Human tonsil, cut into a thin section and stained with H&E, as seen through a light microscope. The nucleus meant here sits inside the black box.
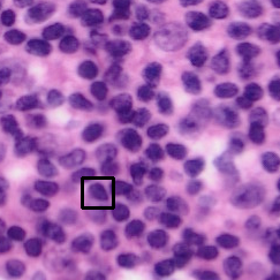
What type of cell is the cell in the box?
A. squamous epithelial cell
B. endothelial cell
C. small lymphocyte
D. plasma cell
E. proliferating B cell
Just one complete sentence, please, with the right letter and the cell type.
The statement that the cell in the box is a small lymphocyte corresponds to option C, the correct one.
